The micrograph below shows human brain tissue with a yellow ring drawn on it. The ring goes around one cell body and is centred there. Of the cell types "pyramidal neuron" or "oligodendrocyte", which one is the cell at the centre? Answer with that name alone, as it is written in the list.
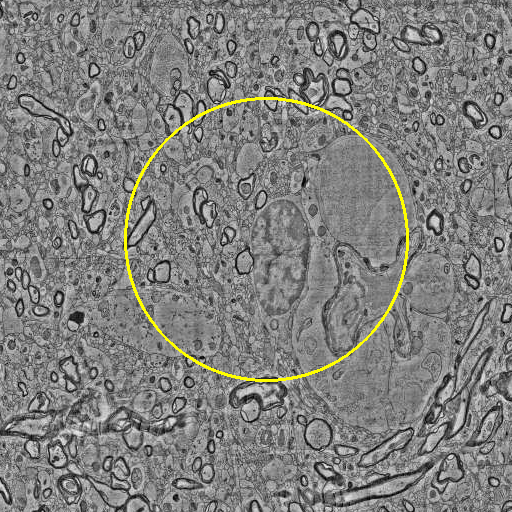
oligodendrocyte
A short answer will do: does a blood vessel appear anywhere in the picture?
Yes, a blood vessel shows in the picture.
